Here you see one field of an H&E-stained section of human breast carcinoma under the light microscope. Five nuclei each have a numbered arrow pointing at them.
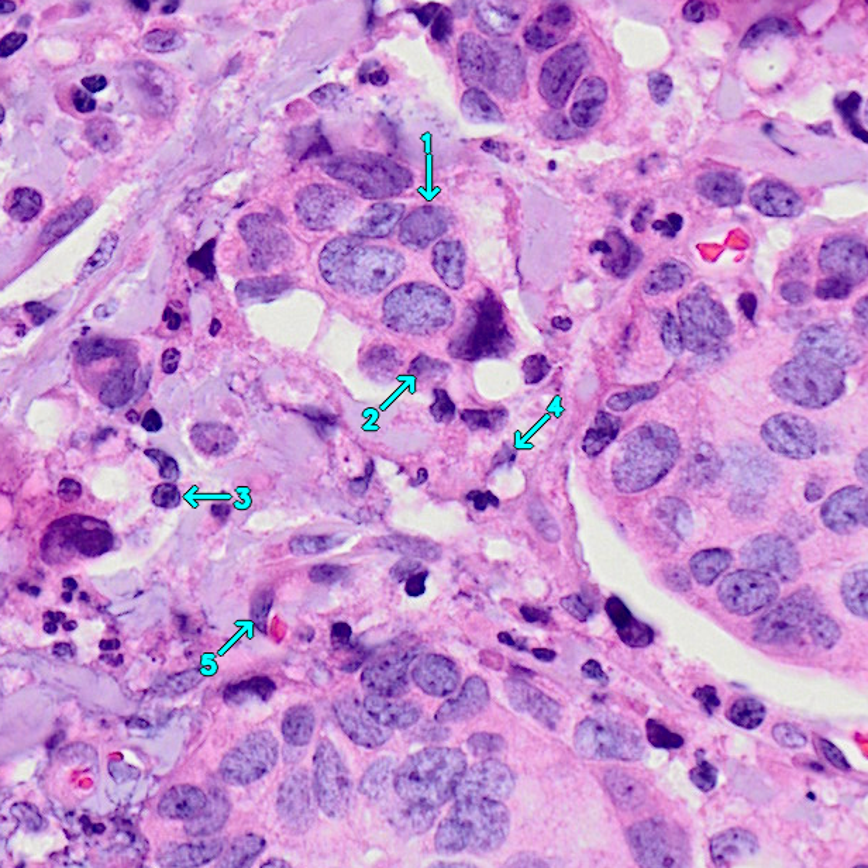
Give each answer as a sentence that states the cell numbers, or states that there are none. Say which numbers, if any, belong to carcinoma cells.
Within the section, cells numbered 1 and 2 are carcinoma cells.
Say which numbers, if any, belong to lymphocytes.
It is only cell 3 that is a lymphocyte among the numbered cells.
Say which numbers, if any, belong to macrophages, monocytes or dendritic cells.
Only one marked cell, number 4, is a macrophage, monocyte or dendritic cell.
